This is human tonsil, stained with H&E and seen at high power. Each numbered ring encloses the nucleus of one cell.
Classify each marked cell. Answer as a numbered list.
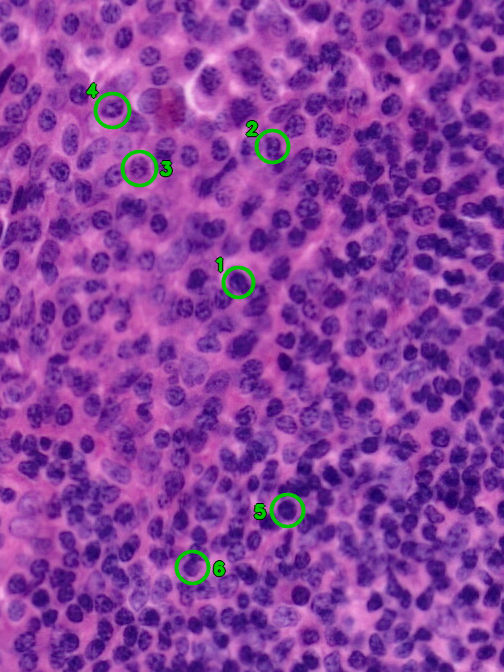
1. plasma cell
2. plasma cell
3. plasma cell
4. plasma cell
5. small lymphocyte
6. small lymphocyte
